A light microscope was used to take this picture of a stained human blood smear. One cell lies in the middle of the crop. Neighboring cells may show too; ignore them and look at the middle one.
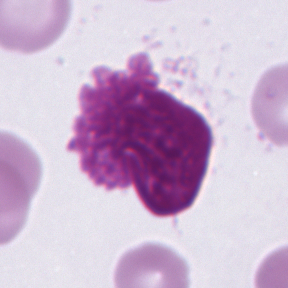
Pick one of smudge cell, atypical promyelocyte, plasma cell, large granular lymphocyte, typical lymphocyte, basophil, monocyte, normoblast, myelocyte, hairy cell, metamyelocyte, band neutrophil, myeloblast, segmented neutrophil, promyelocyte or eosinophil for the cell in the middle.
smudge cell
